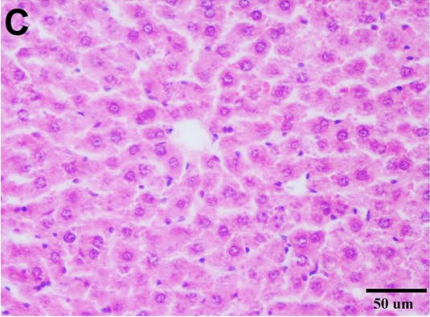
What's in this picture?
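This is liver tissue in which hepatocytes form cords that radiate from a small central vein. The hepatocytes are large and polygonal, with pink, finely granular cytoplasm and round, centrally placed nuclei with visible nucleoli. Between the cords run narrow, clear sinusoids, which are lined by flattened, dark-staining nuclei.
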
